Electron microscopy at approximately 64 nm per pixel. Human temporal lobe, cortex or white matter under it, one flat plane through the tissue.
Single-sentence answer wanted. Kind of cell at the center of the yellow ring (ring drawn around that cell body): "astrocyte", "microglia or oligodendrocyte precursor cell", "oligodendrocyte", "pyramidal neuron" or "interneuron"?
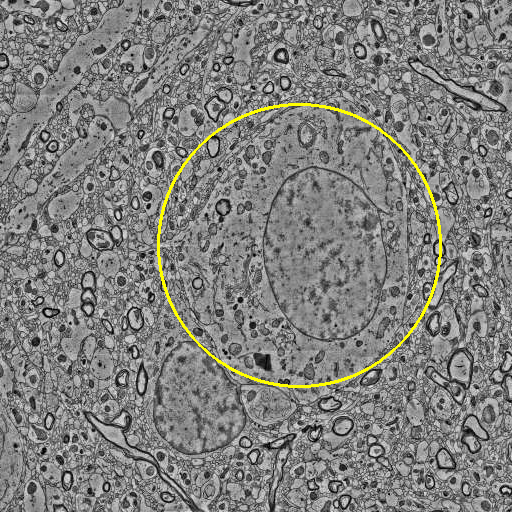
The cell centered in the ring is a pyramidal neuron.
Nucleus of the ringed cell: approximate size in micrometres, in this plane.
In this plane, the nucleus of the cell at the centre of the ring measures about 11 by 8 micrometres.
